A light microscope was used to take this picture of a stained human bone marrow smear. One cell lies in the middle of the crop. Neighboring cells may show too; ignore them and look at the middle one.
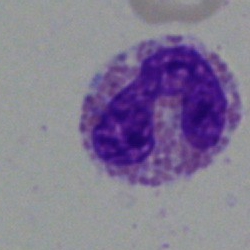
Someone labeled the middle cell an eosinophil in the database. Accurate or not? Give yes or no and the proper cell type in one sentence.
Yes, this is an eosinophil, the cell in the middle of the crop.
